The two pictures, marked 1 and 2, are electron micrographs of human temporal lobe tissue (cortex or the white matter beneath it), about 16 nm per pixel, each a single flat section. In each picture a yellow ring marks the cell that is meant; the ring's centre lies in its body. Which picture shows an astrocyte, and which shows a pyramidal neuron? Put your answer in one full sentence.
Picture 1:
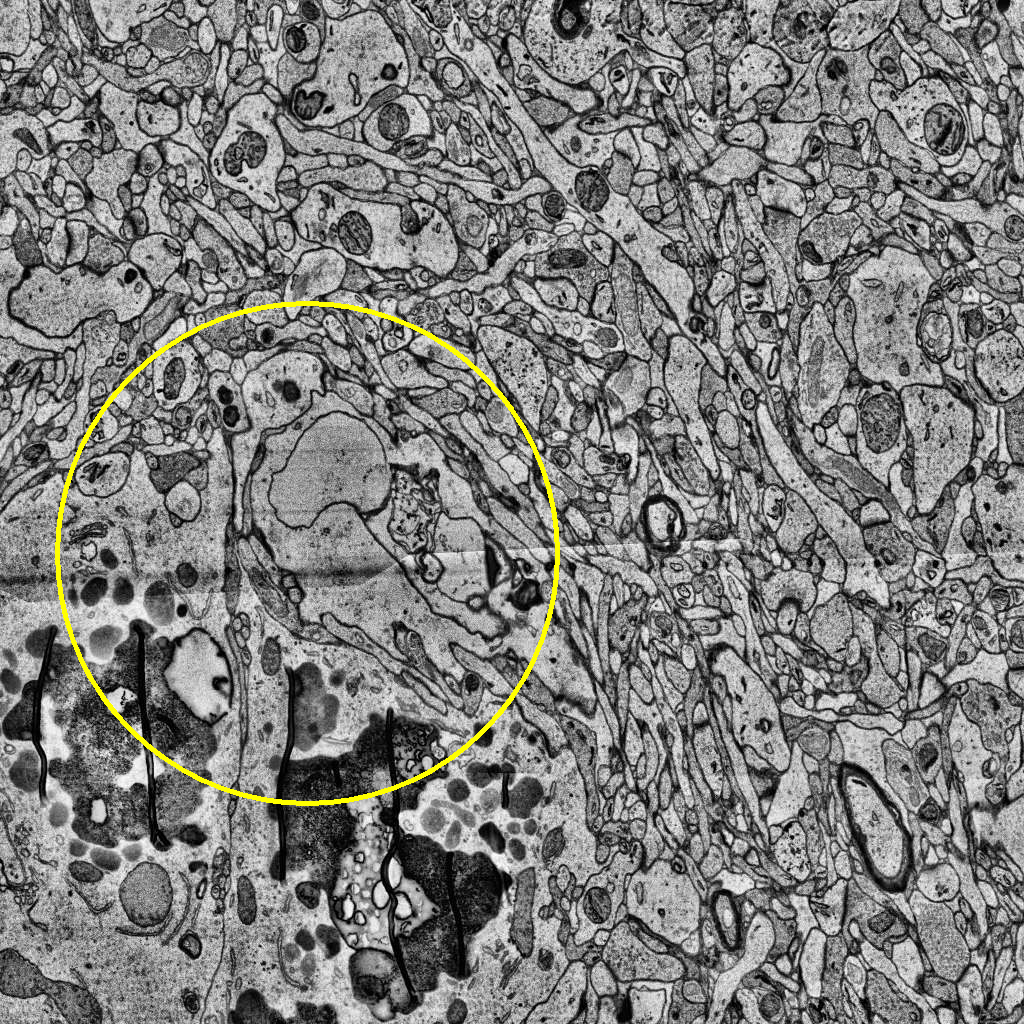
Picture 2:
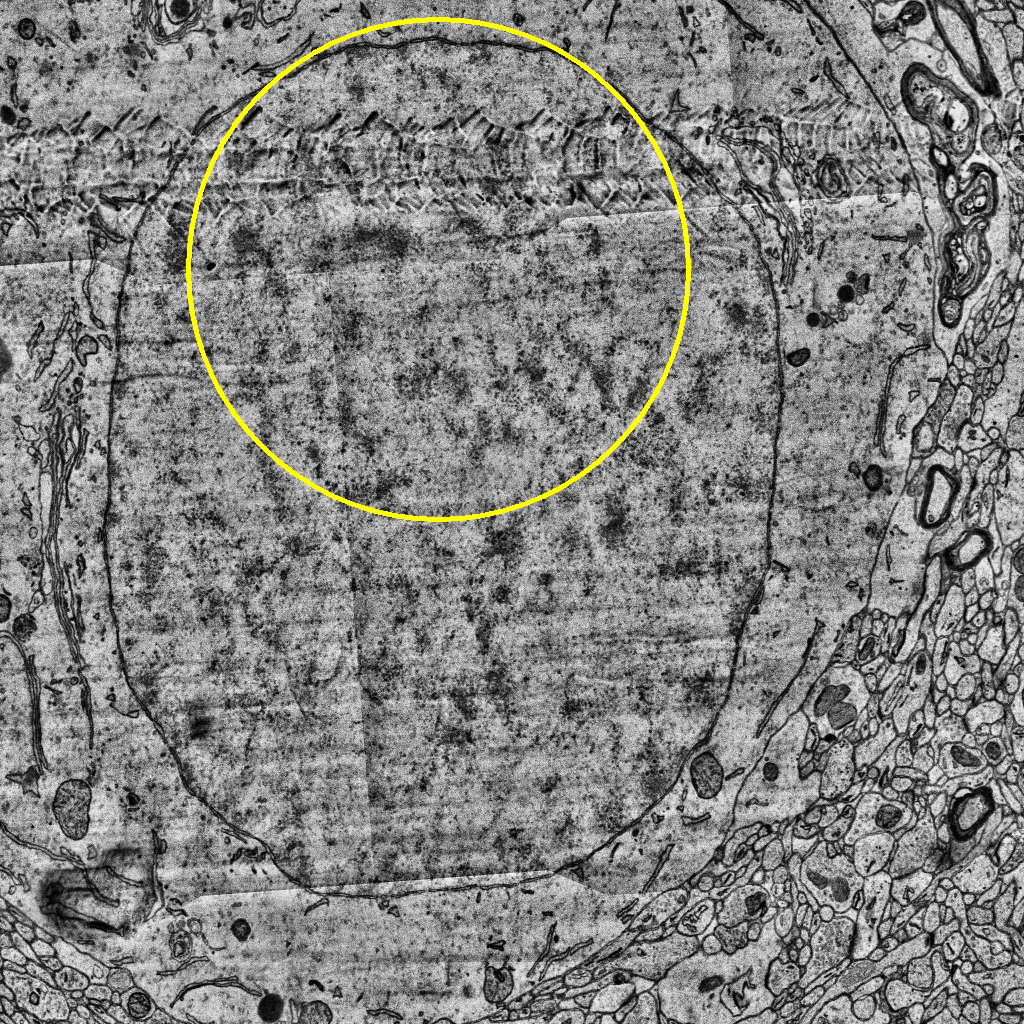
The cell in picture 1 is an astrocyte, and the one in picture 2 is a pyramidal neuron.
